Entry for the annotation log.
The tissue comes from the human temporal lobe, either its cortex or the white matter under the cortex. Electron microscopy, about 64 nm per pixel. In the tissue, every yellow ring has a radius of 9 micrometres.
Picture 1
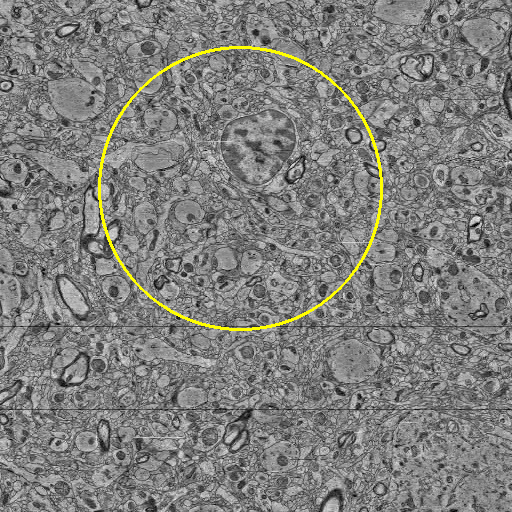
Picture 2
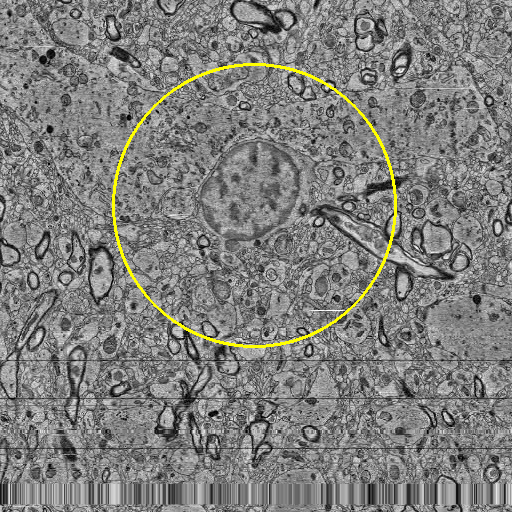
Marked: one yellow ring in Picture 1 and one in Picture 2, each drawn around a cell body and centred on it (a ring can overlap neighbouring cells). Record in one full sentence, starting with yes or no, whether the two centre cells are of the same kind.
No, the two cells are of two kinds.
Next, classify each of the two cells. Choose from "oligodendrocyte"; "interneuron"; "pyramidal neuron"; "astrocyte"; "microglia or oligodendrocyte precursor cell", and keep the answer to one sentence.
In the first picture it is a microglial cell or oligodendrocyte precursor cell; in the second it is an oligodendrocyte.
